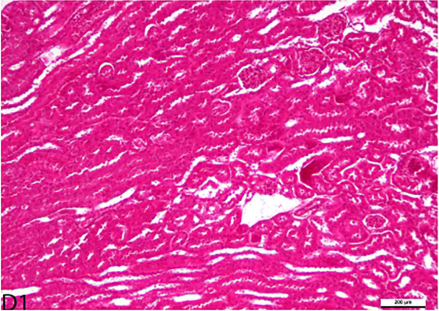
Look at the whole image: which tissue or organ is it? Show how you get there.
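Rounded glomerular tufts scattered among tubules. Many tubular profiles with pink epithelium and small lumens.
Conclusion: kidney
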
